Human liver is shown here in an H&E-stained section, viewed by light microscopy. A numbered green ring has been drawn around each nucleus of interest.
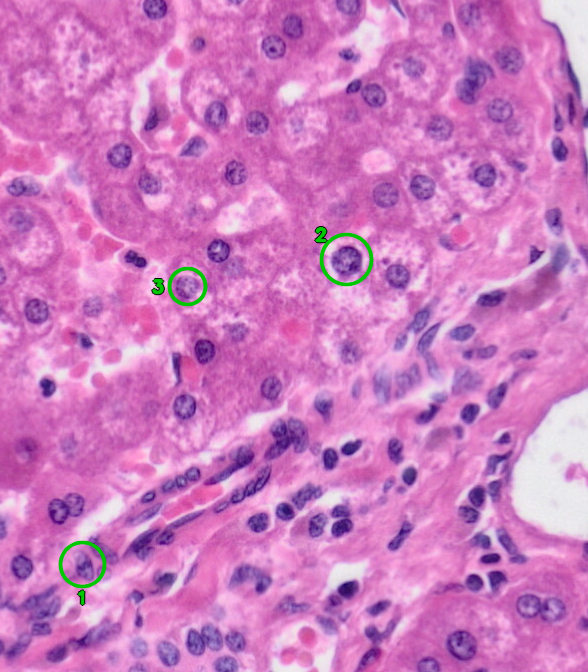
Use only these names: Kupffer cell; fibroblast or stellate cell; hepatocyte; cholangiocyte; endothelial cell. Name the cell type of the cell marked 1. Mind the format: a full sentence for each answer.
The mark numbered 1 indicates the nucleus of a fibroblast or stellate cell.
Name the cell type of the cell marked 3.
At number 3, the marked cell is a hepatocyte.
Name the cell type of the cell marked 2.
The nucleus labelled 2 belongs to a hepatocyte.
